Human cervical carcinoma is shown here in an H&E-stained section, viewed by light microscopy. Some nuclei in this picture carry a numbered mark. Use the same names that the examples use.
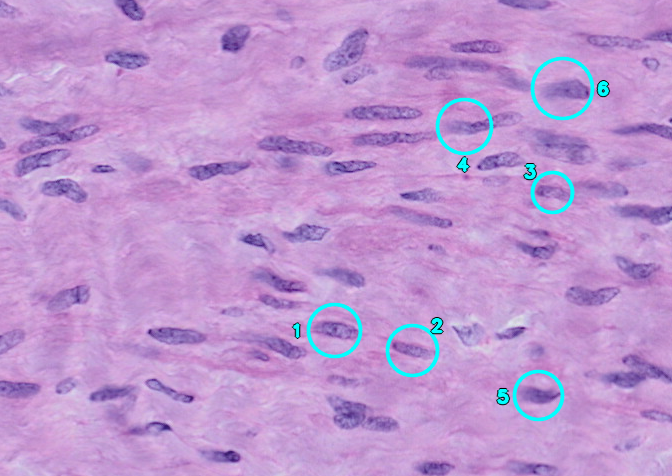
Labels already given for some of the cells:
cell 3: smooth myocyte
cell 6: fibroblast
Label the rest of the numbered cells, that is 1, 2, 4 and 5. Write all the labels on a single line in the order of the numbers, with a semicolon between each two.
smooth myocyte; smooth myocyte; smooth myocyte; fibroblast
